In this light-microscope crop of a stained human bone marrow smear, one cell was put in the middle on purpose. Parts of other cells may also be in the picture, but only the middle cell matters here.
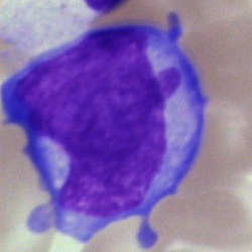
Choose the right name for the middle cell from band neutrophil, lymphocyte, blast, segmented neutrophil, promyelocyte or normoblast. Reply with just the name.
blast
